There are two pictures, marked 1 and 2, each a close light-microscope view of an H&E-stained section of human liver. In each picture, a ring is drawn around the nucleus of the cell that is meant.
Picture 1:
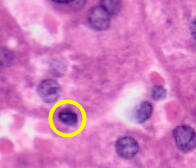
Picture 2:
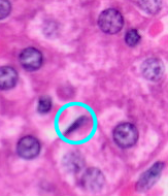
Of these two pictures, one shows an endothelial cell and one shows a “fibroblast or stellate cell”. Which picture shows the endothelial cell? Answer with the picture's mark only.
2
